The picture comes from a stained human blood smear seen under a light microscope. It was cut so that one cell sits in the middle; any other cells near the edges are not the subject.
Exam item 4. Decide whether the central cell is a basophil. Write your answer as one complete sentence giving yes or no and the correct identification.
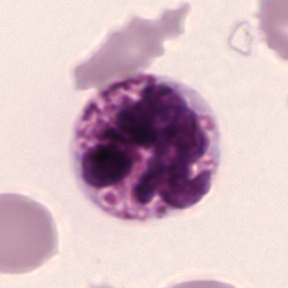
Yes, the cell in the middle of the crop is a basophil.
